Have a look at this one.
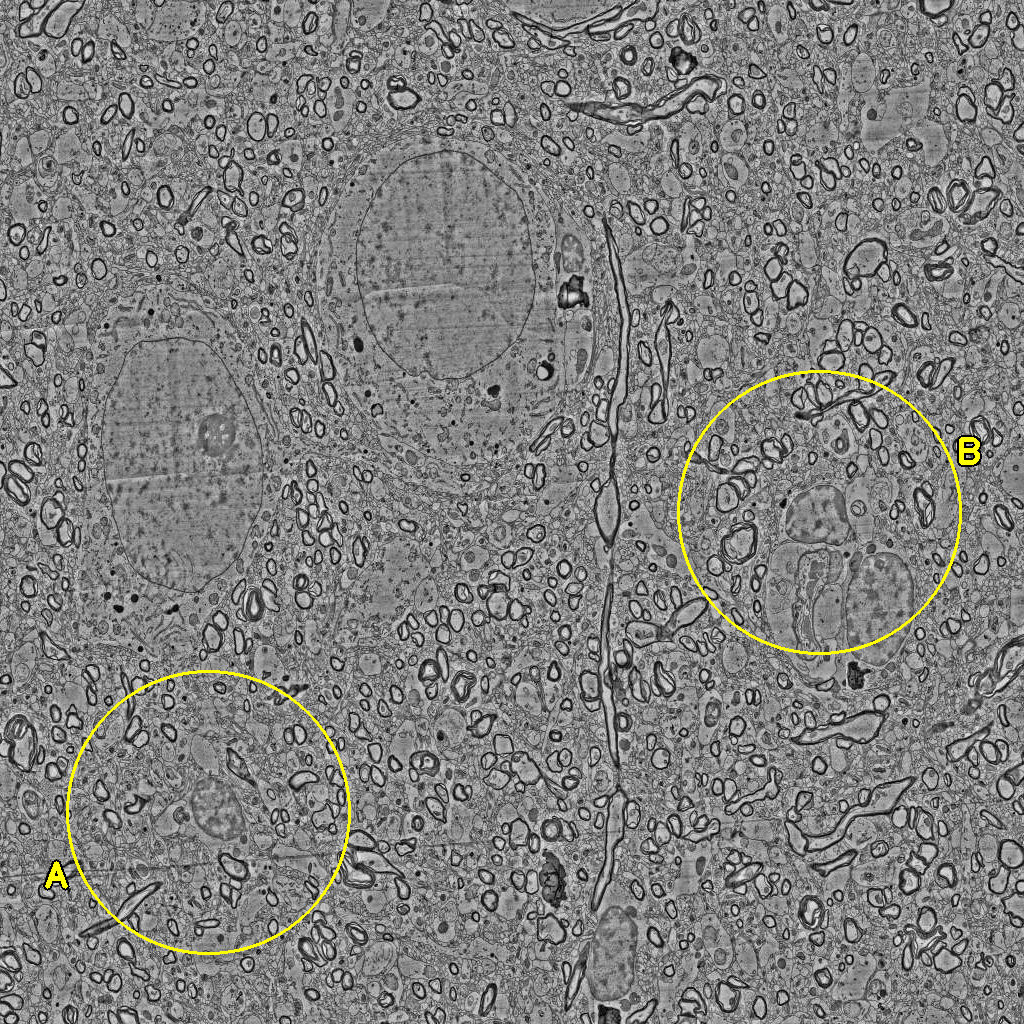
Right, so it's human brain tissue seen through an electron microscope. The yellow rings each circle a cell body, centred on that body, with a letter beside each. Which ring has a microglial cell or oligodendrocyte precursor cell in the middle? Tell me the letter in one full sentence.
That kind of cell is sitting in the middle of ring B there.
